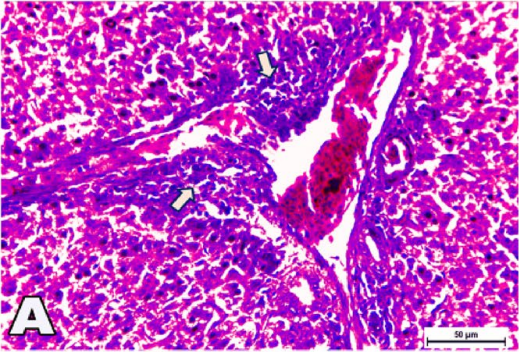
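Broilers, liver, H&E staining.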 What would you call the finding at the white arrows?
Inflammatory cells infiltration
